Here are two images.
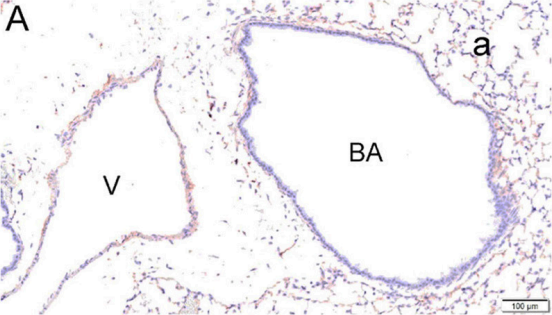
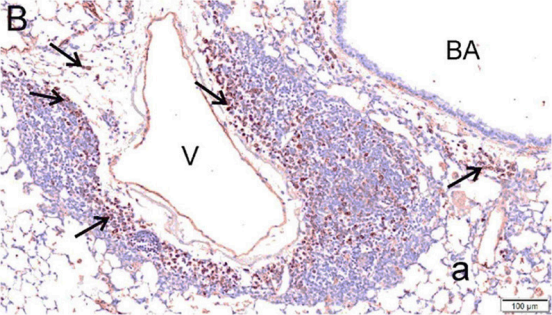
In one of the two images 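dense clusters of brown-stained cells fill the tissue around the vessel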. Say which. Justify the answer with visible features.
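Second image: thick masses of small round cells, many reddish brown, surround the vessel. First image: the tissue around the vessel and airway is thin with only scattered cells. That points to this answer: the second image.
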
